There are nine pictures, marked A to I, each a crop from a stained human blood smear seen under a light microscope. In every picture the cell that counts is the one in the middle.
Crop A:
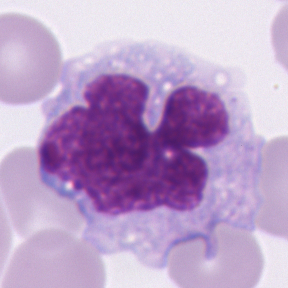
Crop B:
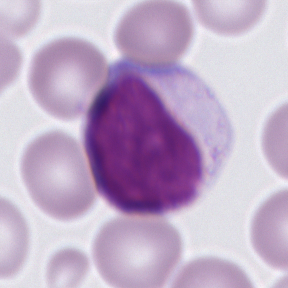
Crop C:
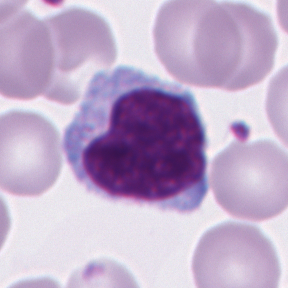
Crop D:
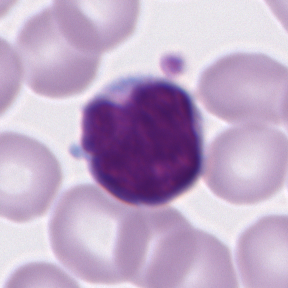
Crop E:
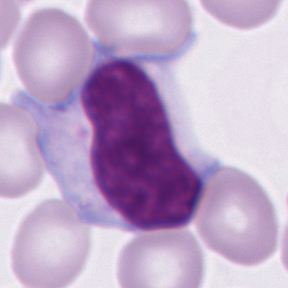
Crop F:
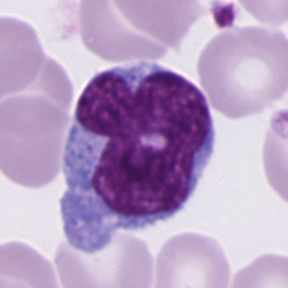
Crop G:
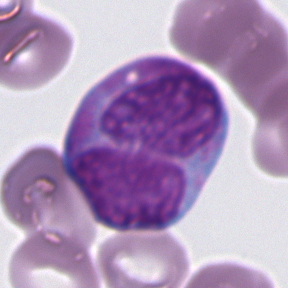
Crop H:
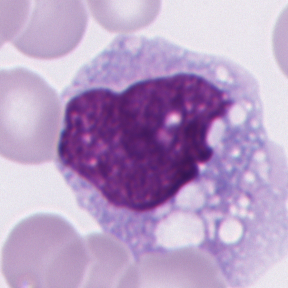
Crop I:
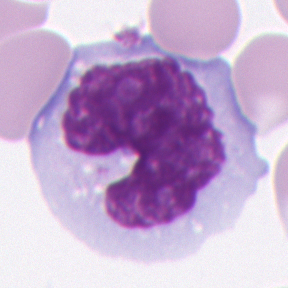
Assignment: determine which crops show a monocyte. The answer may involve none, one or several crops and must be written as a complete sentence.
The cells centred in crops A, F, H and I are monocytes.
